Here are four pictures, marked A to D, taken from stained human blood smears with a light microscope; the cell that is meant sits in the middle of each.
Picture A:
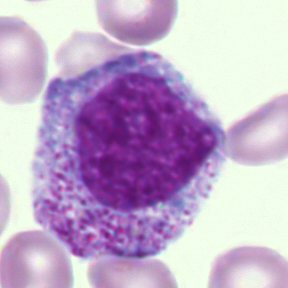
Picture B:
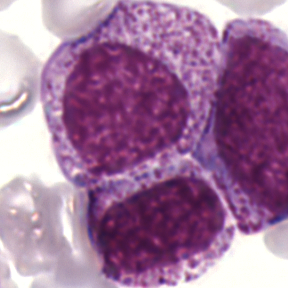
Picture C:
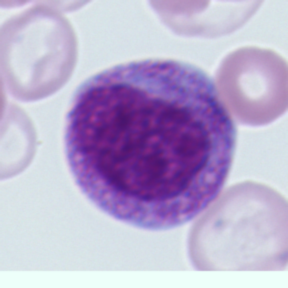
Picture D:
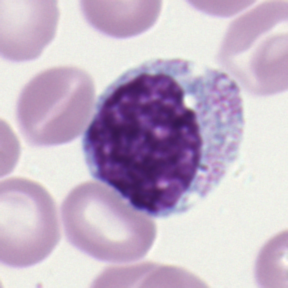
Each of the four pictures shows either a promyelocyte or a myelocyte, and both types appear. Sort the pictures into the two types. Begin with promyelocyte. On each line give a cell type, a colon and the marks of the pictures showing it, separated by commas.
promyelocyte: A
myelocyte: B, C, D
